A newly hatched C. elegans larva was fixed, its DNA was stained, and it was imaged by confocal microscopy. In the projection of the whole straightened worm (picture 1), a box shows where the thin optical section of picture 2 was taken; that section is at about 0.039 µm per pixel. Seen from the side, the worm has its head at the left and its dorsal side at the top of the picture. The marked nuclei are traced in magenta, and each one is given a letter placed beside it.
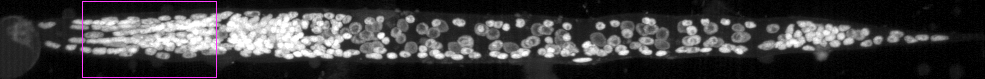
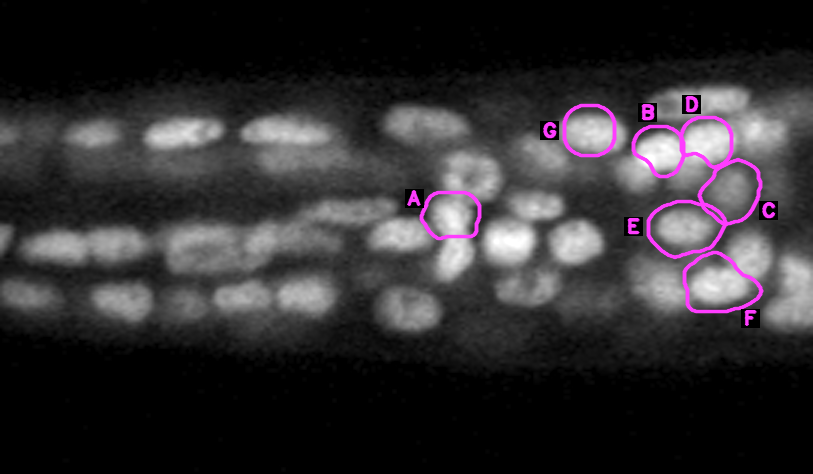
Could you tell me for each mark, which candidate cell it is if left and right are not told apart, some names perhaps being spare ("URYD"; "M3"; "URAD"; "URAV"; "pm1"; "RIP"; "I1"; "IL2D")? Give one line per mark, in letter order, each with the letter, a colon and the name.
A: pm1
B: URAD
C: RIP
D: URYD
E: M3
F: URAV
G: IL2D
